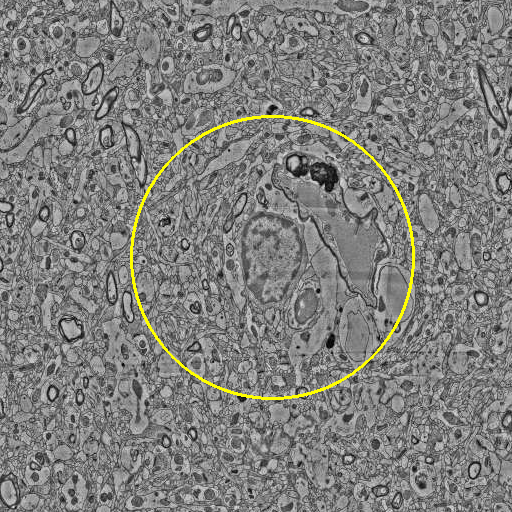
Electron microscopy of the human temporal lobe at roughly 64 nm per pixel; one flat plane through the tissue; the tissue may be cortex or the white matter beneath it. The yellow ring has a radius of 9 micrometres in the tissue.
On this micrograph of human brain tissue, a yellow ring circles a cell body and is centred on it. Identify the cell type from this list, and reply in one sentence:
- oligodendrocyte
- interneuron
The cell at the centre is an oligodendrocyte.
